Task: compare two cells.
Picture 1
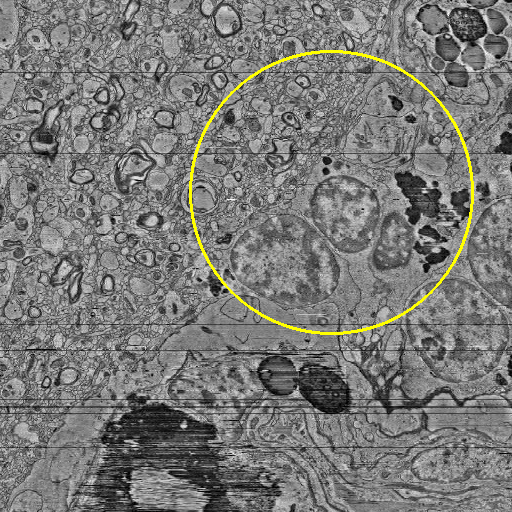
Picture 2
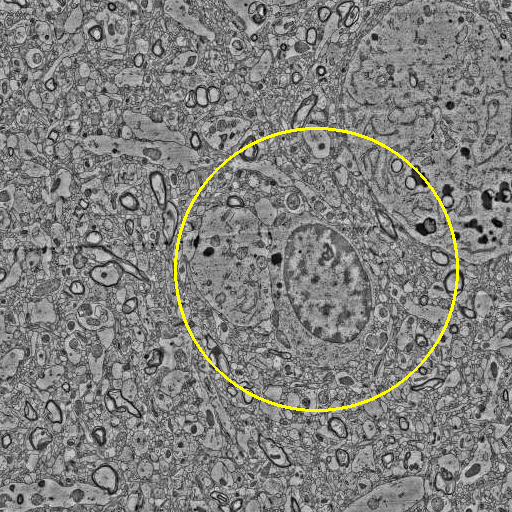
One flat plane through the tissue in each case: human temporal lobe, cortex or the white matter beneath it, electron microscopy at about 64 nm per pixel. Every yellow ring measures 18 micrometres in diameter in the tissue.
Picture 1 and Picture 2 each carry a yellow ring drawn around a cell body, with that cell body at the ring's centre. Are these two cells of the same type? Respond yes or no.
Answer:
yes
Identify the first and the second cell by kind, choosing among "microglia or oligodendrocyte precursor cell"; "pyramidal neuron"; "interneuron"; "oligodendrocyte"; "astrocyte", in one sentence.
Both cells are the same kind, each one being an oligodendrocyte.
